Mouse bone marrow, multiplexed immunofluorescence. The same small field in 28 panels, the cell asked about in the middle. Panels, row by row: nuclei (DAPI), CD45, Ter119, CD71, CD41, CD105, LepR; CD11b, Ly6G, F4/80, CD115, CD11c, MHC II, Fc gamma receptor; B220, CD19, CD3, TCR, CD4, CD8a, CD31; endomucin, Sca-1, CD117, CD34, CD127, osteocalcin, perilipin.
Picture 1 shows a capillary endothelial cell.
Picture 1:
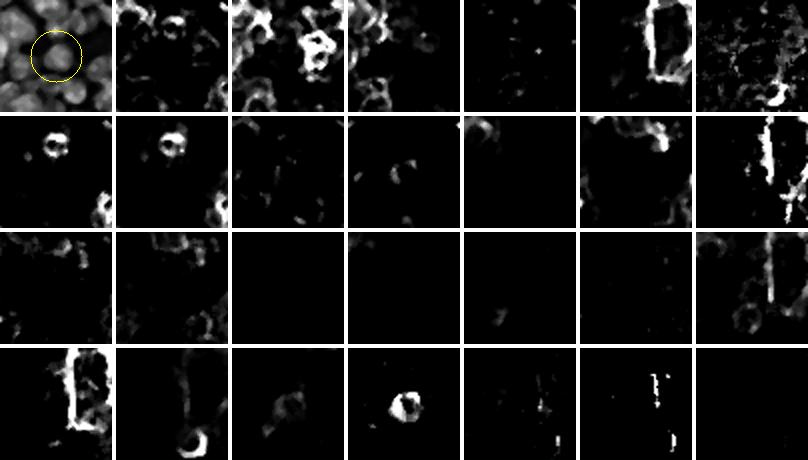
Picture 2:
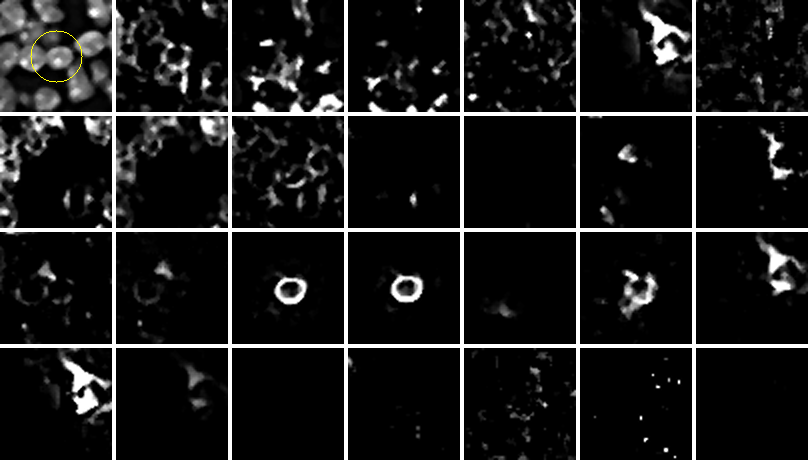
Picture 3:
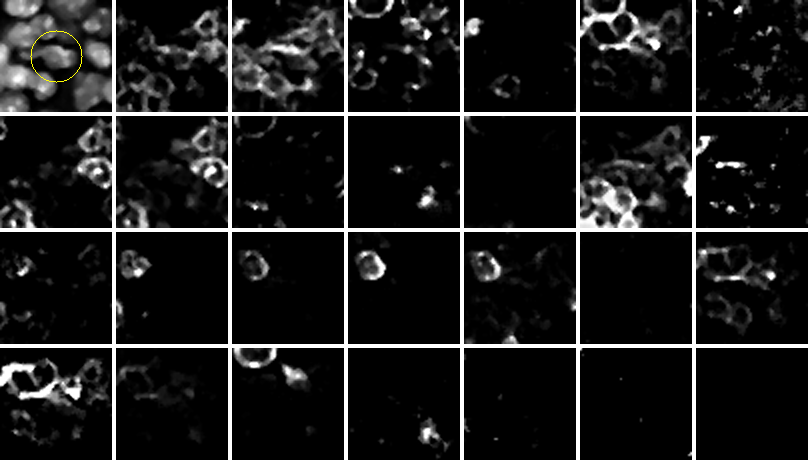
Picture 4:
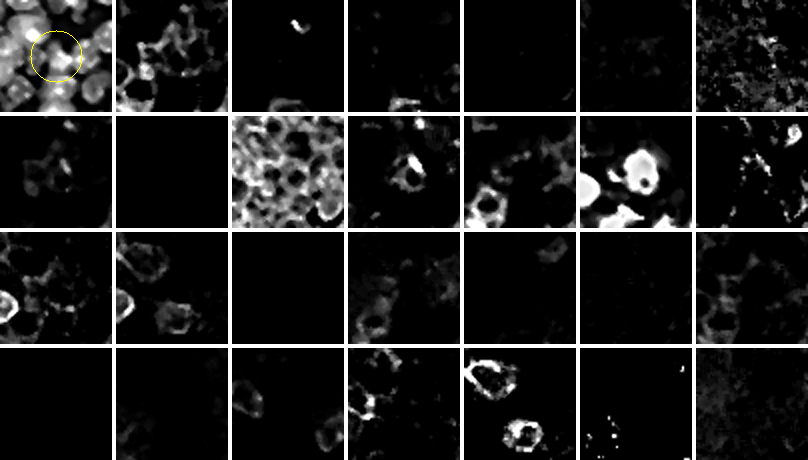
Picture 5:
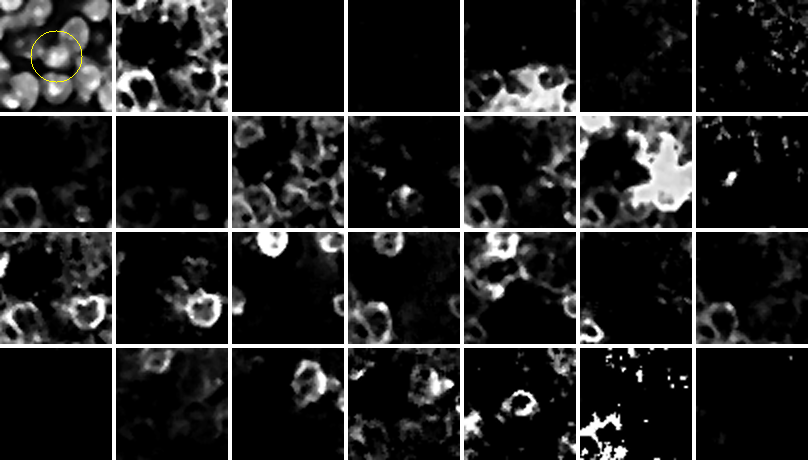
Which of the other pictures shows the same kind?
Picture 3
